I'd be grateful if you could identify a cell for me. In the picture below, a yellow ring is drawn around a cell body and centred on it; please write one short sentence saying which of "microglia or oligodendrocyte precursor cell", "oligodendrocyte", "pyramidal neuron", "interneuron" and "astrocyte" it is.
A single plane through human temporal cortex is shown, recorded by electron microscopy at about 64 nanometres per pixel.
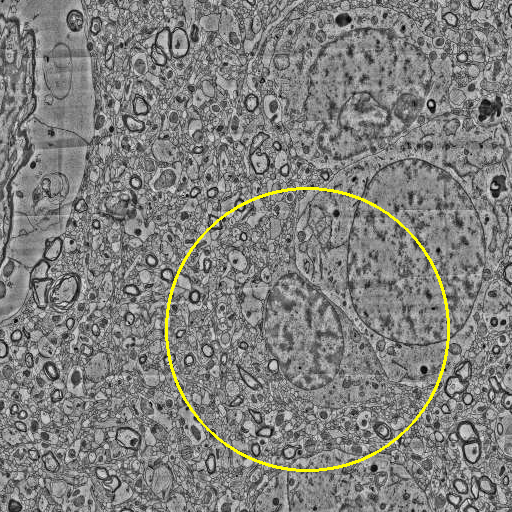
The cell under the ring's centre is an oligodendrocyte.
